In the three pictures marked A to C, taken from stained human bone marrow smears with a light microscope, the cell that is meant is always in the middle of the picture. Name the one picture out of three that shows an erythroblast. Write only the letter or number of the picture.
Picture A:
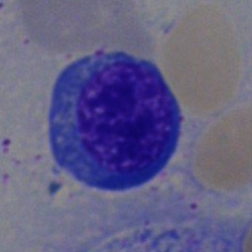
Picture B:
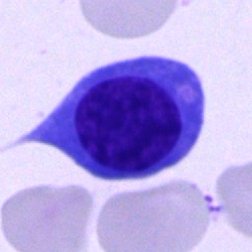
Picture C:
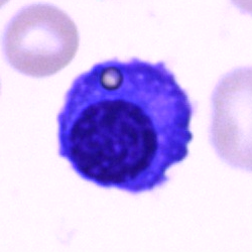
A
